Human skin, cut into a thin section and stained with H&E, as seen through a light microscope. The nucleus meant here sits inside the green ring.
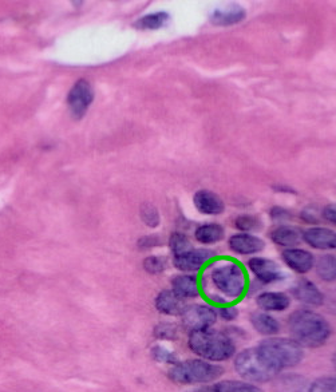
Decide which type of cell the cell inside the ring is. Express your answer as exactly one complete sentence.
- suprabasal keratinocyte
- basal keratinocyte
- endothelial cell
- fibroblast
The identity of the cell inside the ring is that of a basal keratinocyte.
